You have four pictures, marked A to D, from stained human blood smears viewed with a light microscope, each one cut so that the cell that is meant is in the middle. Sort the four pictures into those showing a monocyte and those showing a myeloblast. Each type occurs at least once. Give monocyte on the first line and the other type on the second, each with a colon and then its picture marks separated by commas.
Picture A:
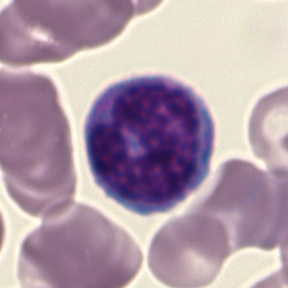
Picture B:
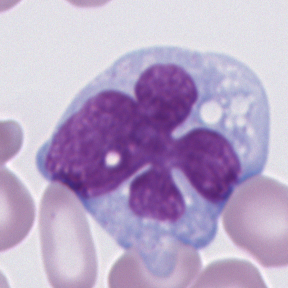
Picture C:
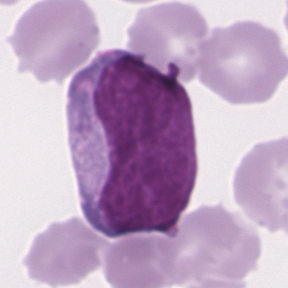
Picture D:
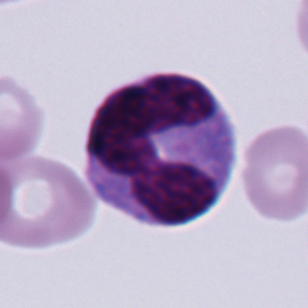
monocyte: A, B, D
myeloblast: C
